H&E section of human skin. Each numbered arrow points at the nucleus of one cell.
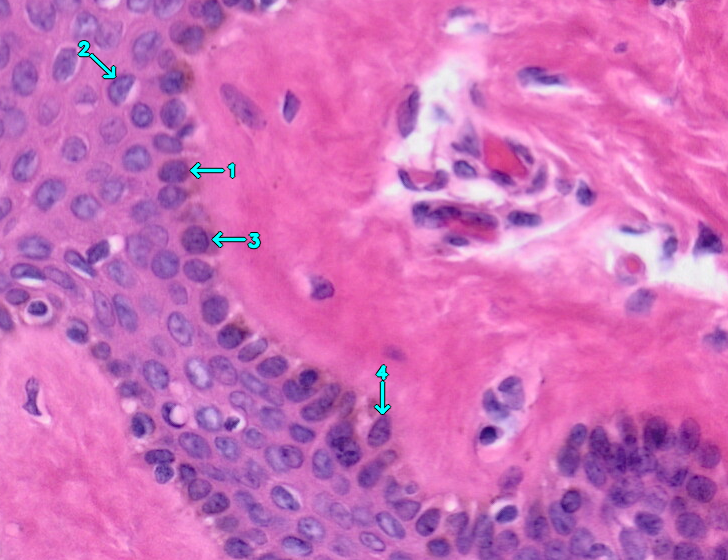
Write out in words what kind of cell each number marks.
Cell 1 is a basal keratinocyte, cell 2 is a suprabasal keratinocyte, cell 3 is a basal keratinocyte and cell 4 is a basal keratinocyte.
